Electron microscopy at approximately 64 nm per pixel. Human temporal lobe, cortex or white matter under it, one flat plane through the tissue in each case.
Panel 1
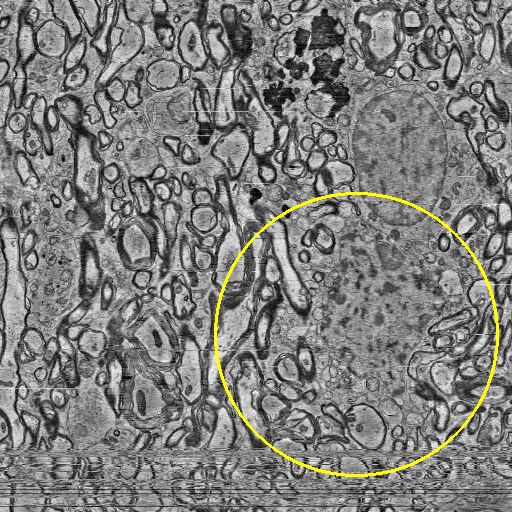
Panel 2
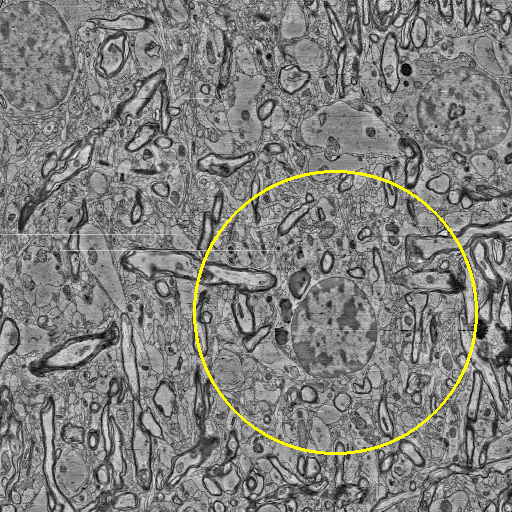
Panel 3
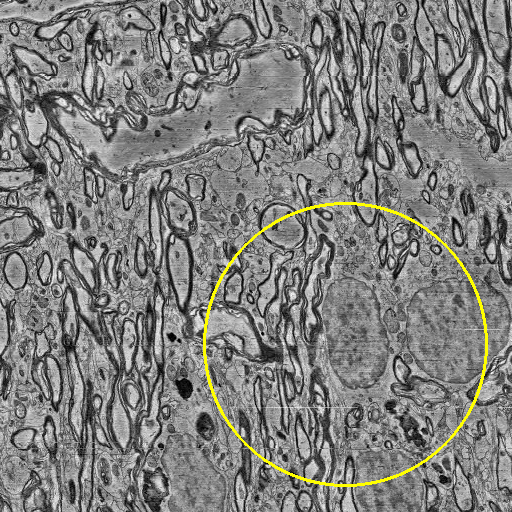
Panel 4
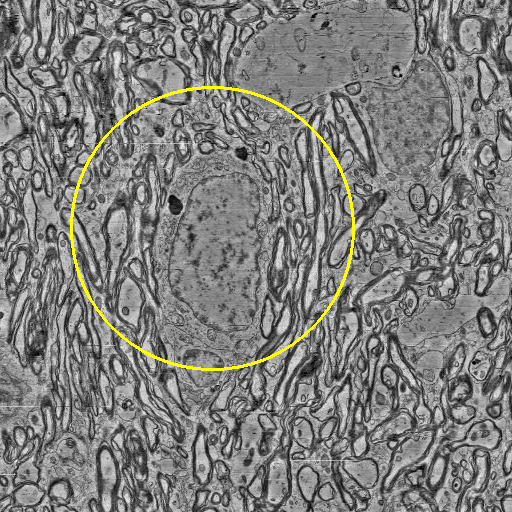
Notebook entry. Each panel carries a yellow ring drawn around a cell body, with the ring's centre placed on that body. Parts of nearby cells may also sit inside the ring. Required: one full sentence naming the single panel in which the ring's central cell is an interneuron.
Panel 4 is the single one with the sought cell at its ring's centre.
